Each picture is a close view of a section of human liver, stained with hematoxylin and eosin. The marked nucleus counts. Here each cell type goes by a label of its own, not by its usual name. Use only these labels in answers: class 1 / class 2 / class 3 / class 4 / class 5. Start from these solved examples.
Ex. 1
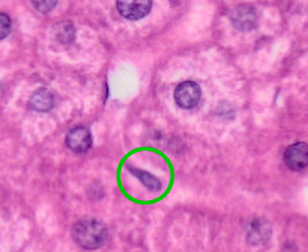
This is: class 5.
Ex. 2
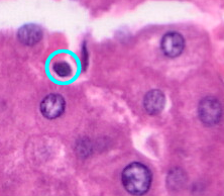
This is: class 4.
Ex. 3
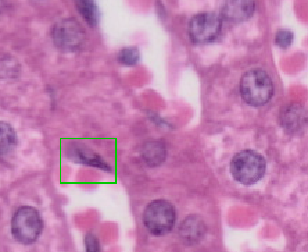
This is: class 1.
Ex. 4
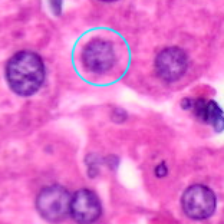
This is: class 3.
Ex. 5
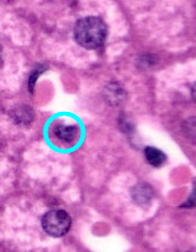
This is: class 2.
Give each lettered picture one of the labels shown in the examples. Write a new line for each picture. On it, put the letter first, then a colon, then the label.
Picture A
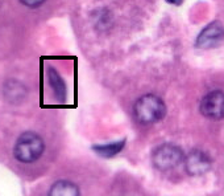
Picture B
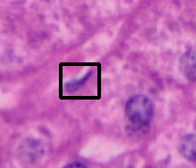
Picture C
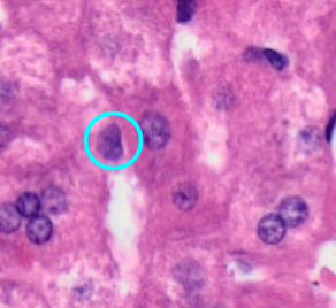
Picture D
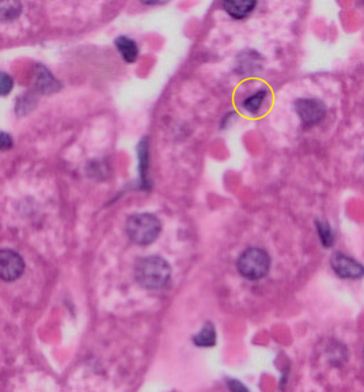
A: class 2.
B: class 1.
C: class 1.
D: class 2.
